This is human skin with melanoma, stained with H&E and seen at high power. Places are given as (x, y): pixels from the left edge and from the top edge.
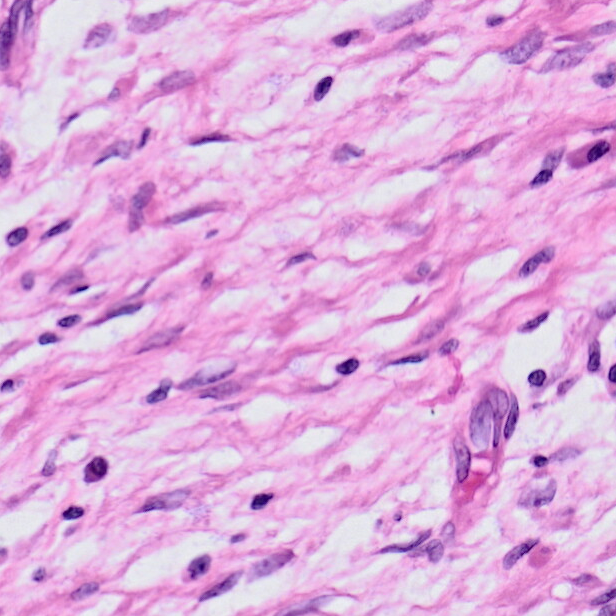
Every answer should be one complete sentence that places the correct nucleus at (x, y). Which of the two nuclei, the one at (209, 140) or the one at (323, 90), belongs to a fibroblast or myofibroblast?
In this pair, the nucleus at (209, 140) belongs to a fibroblast or myofibroblast.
